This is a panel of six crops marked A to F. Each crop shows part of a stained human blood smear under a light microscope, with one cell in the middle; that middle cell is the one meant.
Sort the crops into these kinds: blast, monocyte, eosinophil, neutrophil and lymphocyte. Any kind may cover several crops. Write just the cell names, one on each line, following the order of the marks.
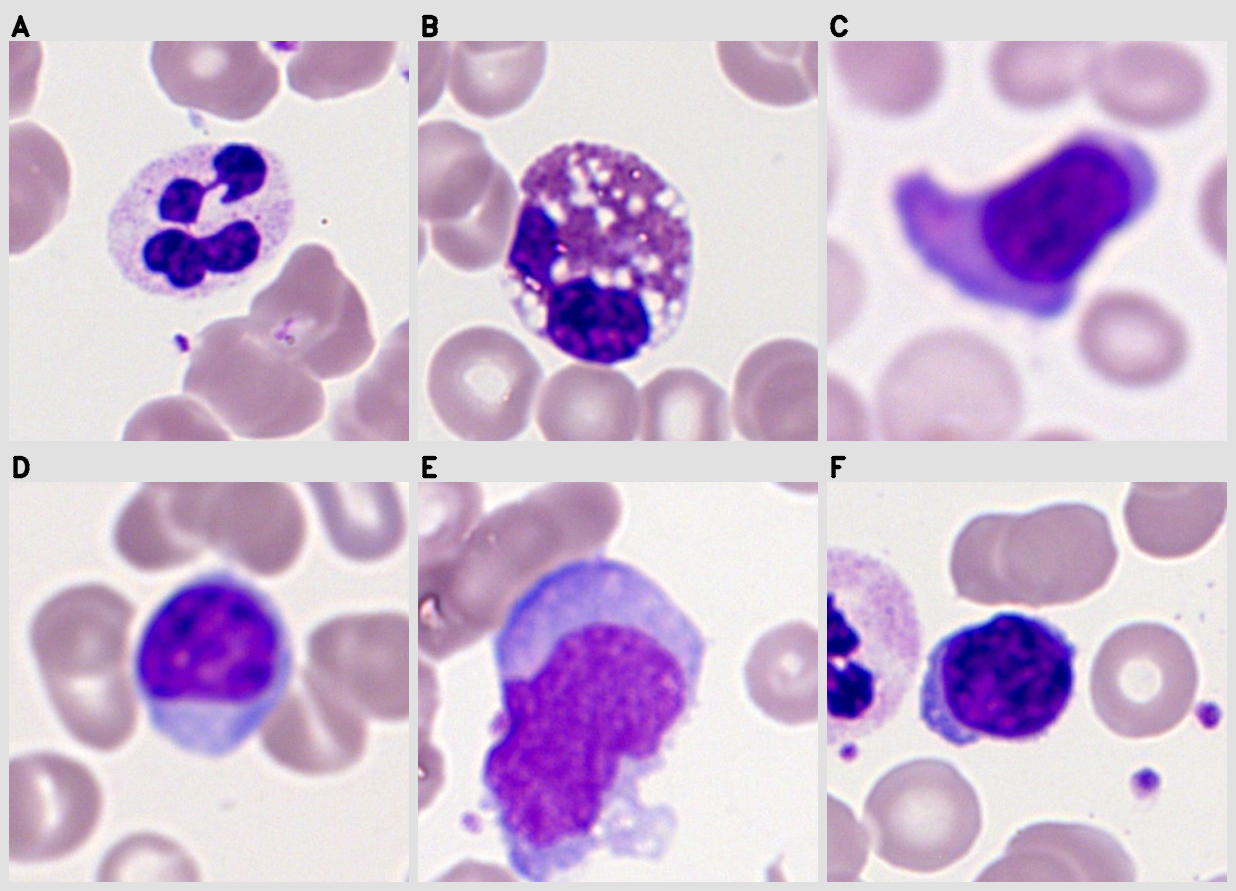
neutrophil
eosinophil
lymphocyte
lymphocyte
monocyte
lymphocyte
